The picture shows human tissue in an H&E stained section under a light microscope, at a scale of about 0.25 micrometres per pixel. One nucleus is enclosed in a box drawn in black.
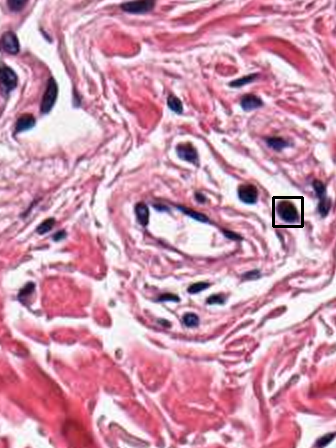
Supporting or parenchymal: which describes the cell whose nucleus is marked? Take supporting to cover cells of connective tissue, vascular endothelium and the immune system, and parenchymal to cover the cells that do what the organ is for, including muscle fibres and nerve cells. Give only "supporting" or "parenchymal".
supporting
